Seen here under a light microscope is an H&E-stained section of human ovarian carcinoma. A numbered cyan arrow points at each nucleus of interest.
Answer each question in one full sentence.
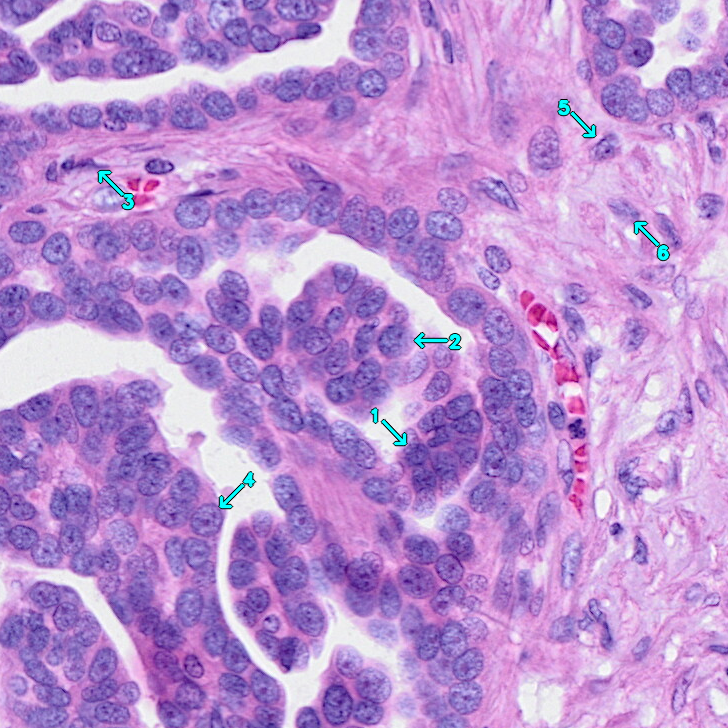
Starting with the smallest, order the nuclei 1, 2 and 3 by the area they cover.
Smallest first, the nuclei run 3, 1, 2.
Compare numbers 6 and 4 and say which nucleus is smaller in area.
It is nucleus 6; nucleus 4 has about 1.5 times its area.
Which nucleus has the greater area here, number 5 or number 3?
Of the two, number 5 is bigger and takes up about 2.5 times the area of number 3.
